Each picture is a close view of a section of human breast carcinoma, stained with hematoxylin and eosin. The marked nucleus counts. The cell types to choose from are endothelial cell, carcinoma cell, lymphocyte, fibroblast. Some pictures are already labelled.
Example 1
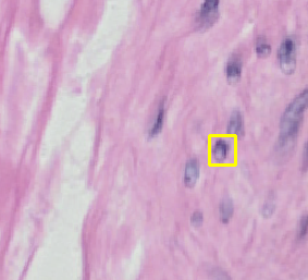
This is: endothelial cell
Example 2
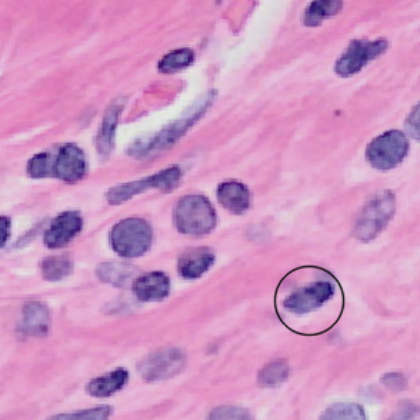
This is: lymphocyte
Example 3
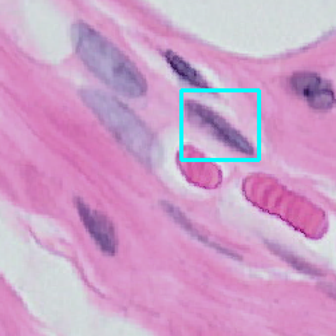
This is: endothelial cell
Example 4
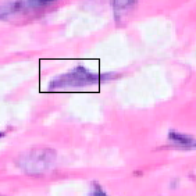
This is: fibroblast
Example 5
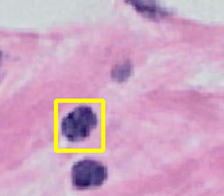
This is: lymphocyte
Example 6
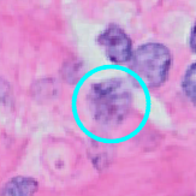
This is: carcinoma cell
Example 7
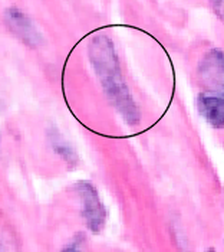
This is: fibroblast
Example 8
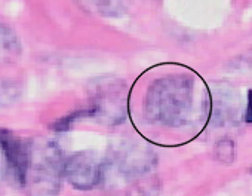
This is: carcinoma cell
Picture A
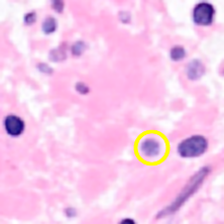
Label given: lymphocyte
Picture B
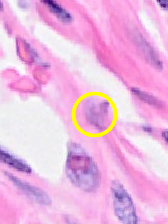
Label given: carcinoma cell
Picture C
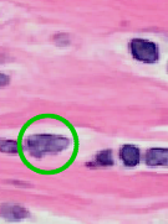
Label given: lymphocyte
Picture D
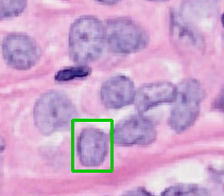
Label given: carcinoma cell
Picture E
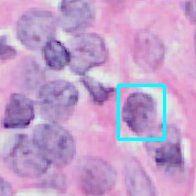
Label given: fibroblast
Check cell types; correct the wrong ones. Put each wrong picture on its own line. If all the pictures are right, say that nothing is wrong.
B is labelled carcinoma cell; correct label: endothelial cell
E is labelled fibroblast; correct label: carcinoma cell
